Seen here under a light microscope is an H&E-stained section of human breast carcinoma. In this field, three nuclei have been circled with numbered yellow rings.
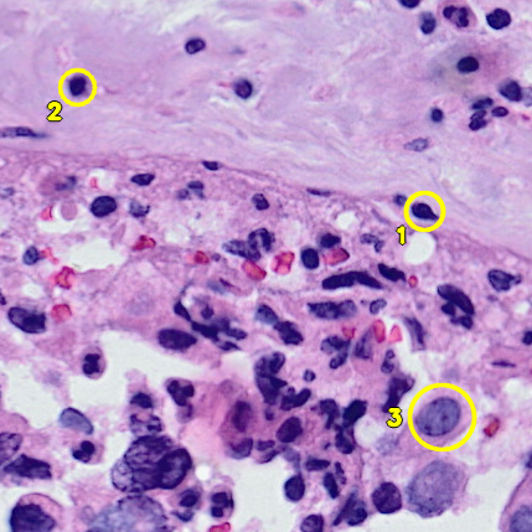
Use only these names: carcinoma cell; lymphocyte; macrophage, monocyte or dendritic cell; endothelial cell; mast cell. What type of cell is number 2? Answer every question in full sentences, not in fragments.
Cell 2 in the field is a lymphocyte.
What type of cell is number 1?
Number 1 is placed on a lymphocyte here.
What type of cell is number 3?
The cell whose nucleus carries the number 3 is a carcinoma cell.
